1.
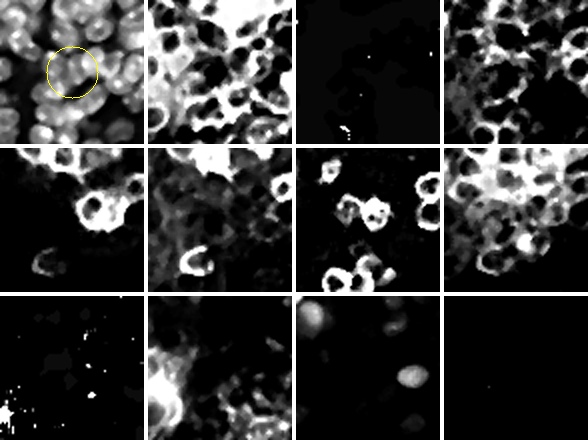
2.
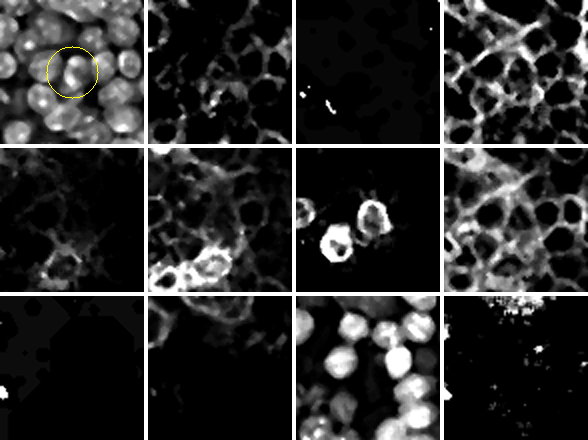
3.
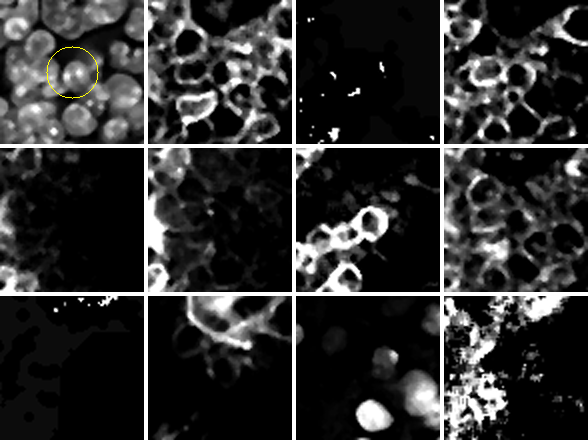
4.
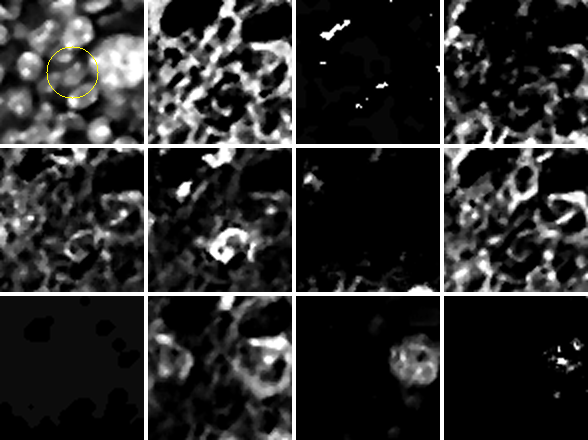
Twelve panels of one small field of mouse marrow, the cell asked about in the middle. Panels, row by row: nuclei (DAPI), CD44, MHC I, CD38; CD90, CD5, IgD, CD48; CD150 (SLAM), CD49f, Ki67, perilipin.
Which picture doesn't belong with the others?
Picture 4.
